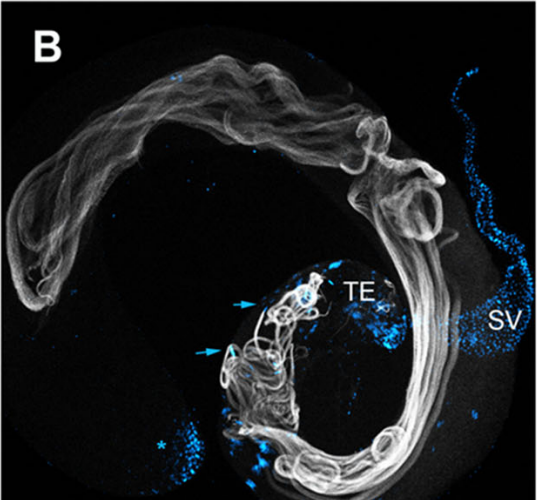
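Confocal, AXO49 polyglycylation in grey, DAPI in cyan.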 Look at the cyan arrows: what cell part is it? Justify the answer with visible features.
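The arrows point to small cyan dots at the edge of a coiled grey fibre mass.
Nuclei of spermatid bundles.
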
